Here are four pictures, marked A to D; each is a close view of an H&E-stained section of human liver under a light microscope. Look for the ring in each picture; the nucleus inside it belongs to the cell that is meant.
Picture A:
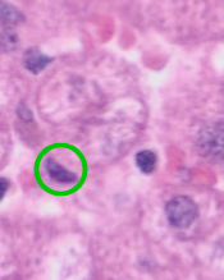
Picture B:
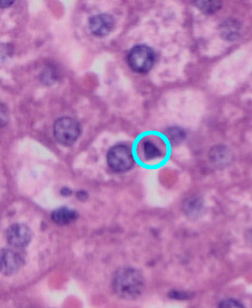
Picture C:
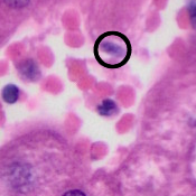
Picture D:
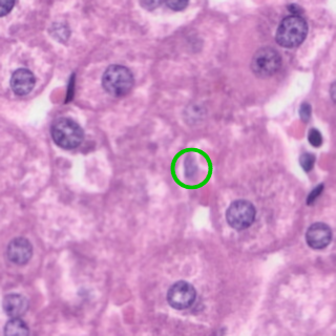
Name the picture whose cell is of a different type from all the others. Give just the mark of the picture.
D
